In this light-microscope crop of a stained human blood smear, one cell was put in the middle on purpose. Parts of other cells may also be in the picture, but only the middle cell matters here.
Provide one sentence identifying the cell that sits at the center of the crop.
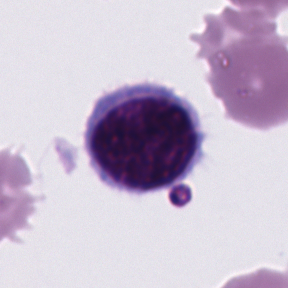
Centred in the crop is a hairy cell.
